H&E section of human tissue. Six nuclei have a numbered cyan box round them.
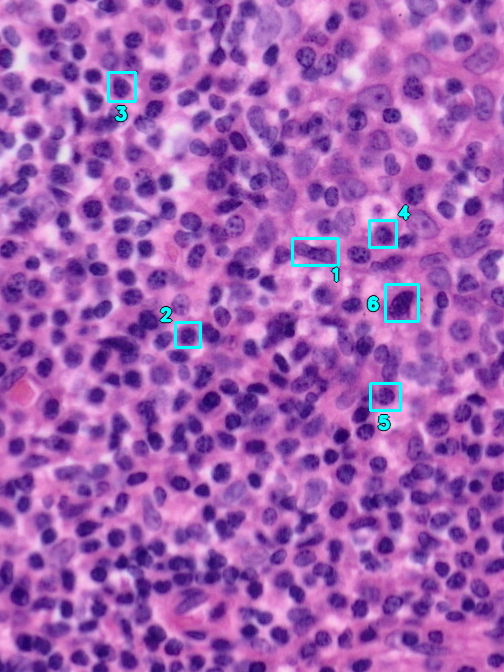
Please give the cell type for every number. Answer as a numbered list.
1. squamous epithelial cell
2. plasma cell
3. plasma cell
4. plasma cell
5. plasma cell
6. squamous epithelial cell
